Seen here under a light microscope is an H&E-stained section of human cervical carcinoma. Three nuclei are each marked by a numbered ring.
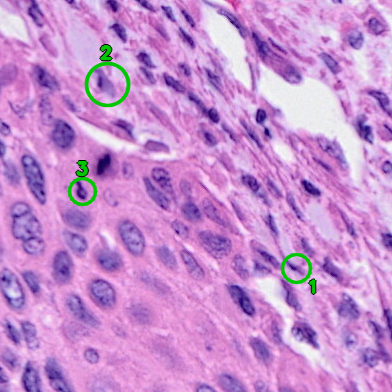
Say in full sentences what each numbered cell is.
Cell 1 is a fibroblast, cell 2 is a fibroblast and cell 3 is a squamous carcinoma cell.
